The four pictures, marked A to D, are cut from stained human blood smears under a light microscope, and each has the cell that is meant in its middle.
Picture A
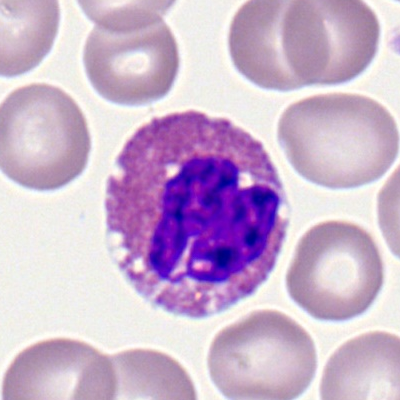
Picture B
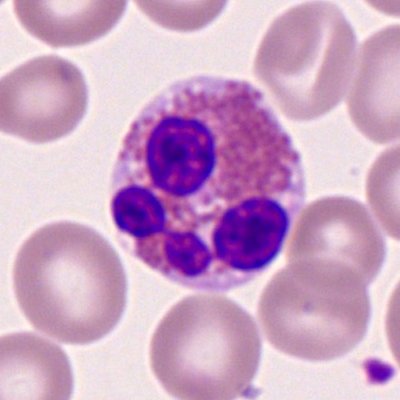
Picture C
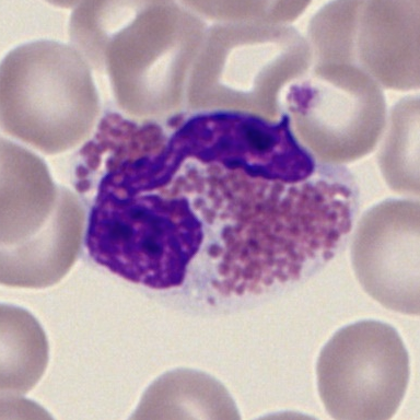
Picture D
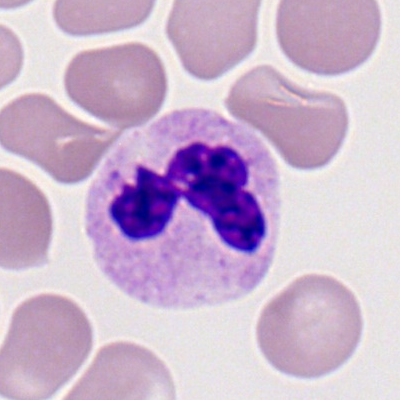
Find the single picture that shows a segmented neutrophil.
D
